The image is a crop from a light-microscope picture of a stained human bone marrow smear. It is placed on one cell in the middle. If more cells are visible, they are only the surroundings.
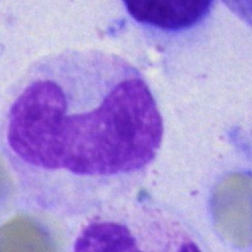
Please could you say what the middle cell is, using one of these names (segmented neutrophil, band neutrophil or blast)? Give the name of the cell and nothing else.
band neutrophil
